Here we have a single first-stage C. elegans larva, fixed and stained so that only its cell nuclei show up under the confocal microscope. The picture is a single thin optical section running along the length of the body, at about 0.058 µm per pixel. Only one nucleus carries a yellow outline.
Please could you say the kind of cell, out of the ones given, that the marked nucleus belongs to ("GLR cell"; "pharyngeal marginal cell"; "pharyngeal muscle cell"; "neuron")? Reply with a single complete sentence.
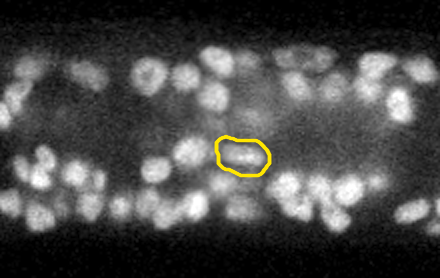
It is the nucleus of a pharyngeal marginal cell.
